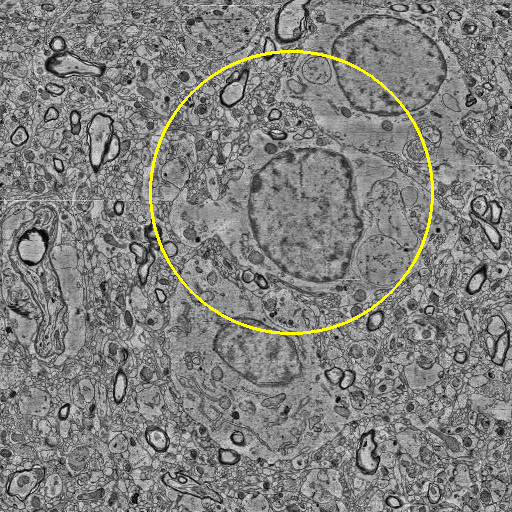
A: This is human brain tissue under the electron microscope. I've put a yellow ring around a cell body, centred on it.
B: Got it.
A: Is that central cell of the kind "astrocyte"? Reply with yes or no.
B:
yes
